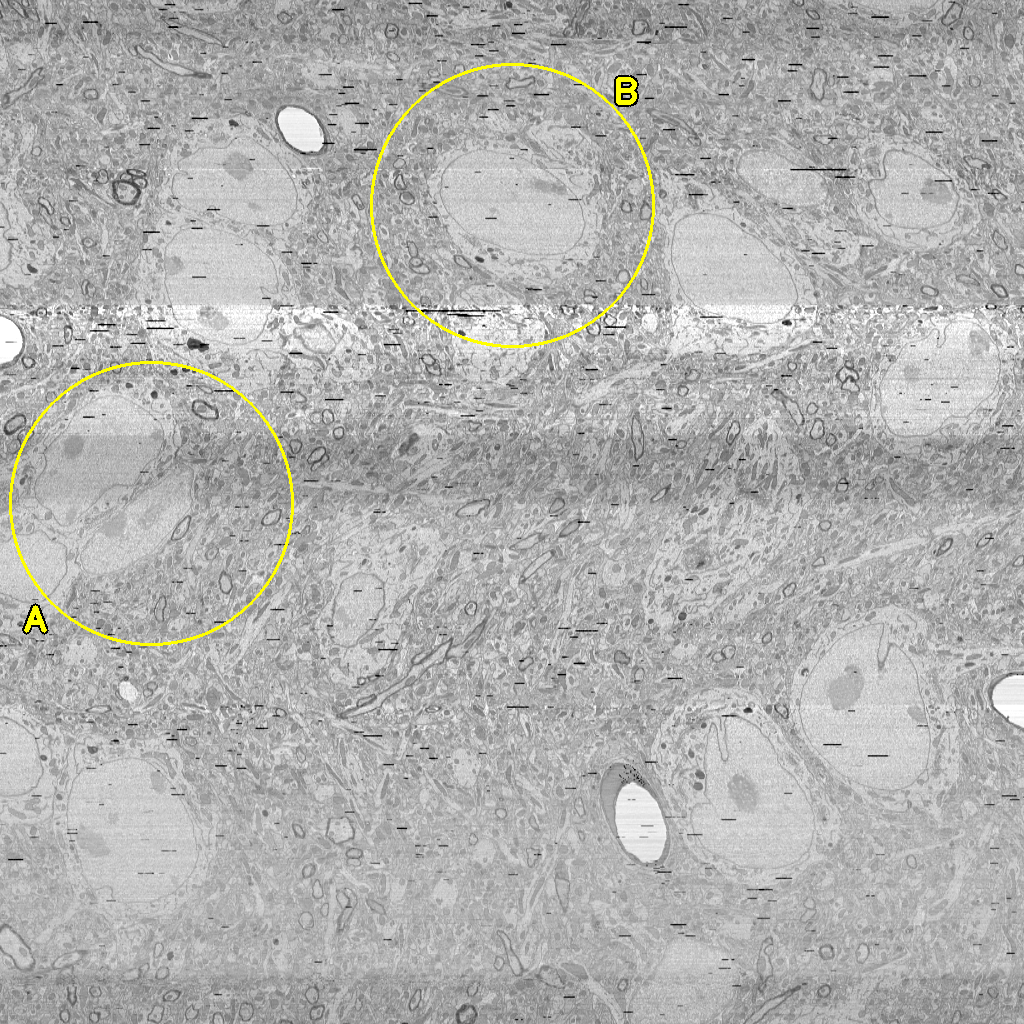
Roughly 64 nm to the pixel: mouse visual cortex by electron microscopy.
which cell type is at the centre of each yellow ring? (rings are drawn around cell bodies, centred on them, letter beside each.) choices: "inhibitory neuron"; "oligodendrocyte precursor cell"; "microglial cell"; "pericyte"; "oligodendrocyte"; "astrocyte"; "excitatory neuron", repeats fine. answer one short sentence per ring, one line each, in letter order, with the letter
Ring A is an oligodendrocyte precursor cell.
Ring B is an excitatory neuron.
